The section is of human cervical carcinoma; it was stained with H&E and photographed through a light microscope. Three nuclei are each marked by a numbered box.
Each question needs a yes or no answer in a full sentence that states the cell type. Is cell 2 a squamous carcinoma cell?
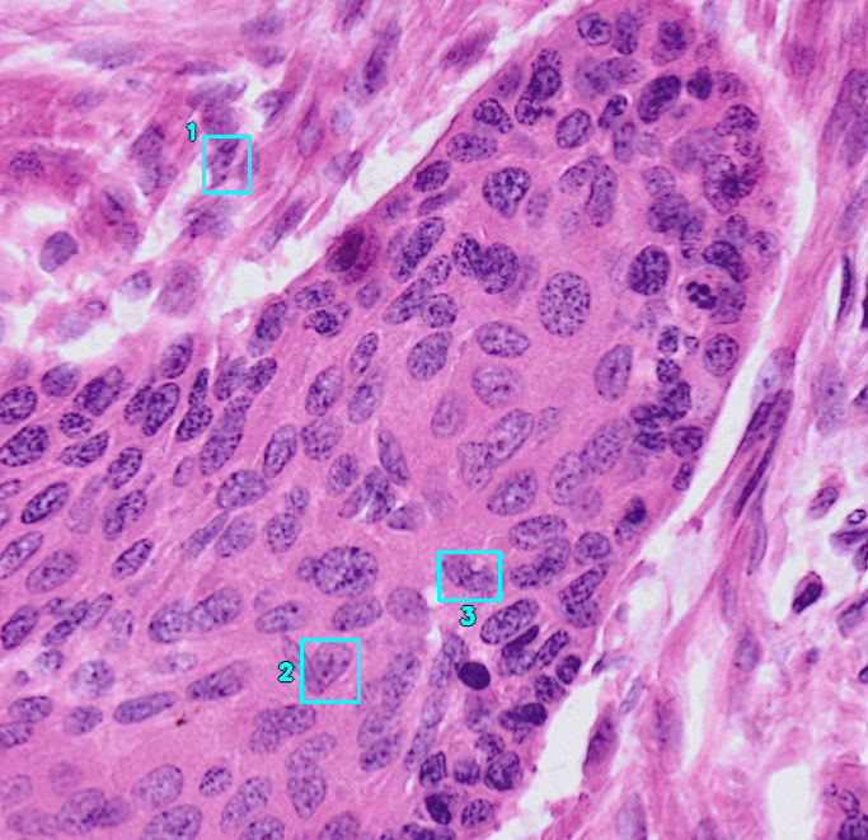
Yes, cell number 2 in this section is a squamous carcinoma cell.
